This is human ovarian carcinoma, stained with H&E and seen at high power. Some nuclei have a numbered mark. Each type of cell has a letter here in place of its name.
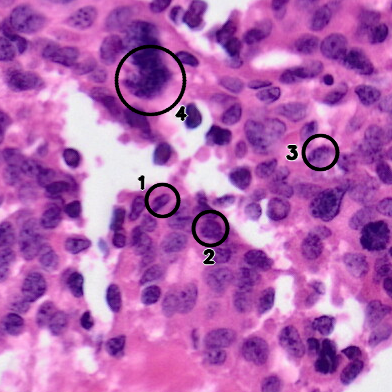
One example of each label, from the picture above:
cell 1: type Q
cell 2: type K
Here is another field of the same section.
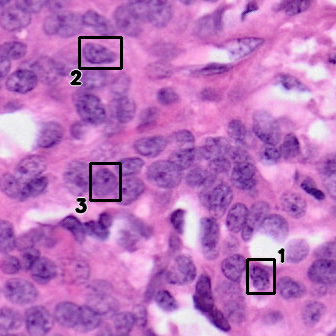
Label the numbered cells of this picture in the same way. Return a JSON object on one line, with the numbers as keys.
{"1": "type K", "2": "type Q", "3": "type K"}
